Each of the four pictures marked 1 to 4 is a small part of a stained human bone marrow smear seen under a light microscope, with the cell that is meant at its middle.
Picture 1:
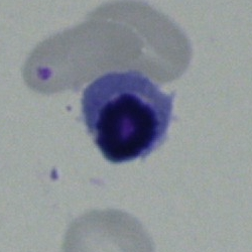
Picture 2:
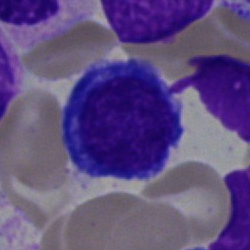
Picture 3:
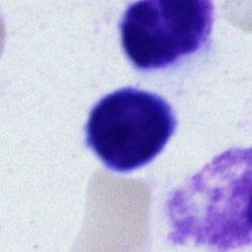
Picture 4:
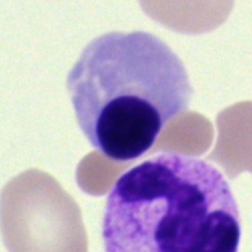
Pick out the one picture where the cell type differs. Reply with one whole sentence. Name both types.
The different one is picture 3; it shows a lymphocyte, whereas all the others show erythroblasts.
